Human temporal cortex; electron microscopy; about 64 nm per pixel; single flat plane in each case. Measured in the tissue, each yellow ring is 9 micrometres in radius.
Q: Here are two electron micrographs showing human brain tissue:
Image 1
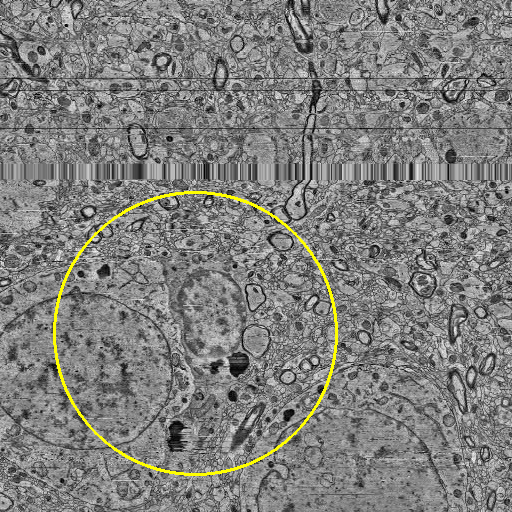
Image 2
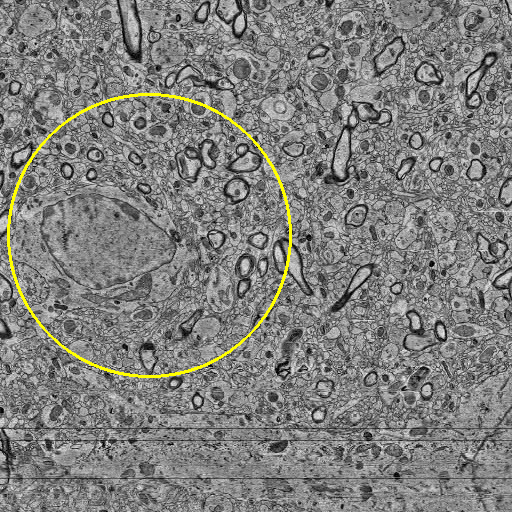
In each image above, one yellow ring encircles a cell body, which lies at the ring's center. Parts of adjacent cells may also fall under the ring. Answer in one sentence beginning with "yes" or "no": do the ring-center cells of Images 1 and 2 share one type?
No, in Images 1 and 2, the ring-center cells are of two types.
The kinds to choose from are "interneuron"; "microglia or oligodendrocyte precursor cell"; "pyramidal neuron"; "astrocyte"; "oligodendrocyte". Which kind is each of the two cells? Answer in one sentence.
Of the two, the first cell is an oligodendrocyte and the second cell is a microglial cell or oligodendrocyte precursor cell.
